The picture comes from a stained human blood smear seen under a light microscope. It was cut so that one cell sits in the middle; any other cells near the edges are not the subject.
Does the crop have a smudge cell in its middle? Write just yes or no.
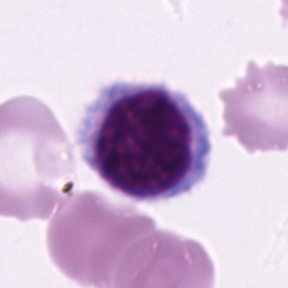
no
